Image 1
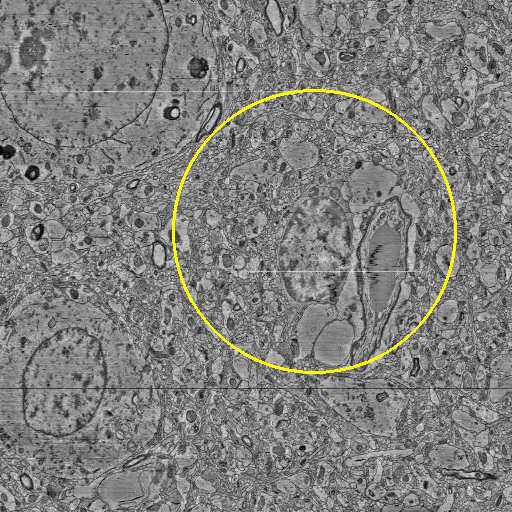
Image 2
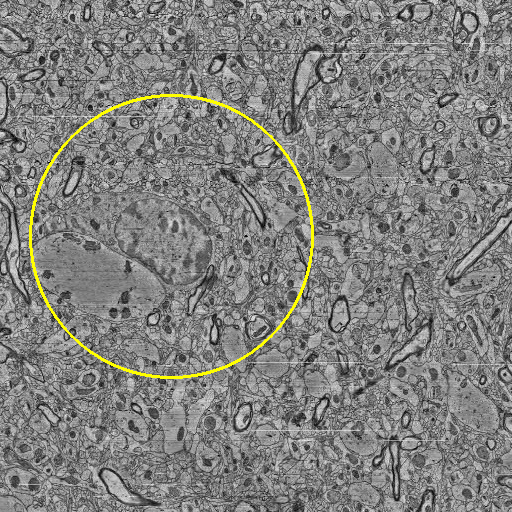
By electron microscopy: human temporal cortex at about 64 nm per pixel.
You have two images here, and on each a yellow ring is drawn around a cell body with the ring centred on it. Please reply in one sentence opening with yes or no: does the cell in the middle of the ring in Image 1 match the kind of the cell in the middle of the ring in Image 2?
Yes, the two images show cells of one kind at the centres of their rings.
